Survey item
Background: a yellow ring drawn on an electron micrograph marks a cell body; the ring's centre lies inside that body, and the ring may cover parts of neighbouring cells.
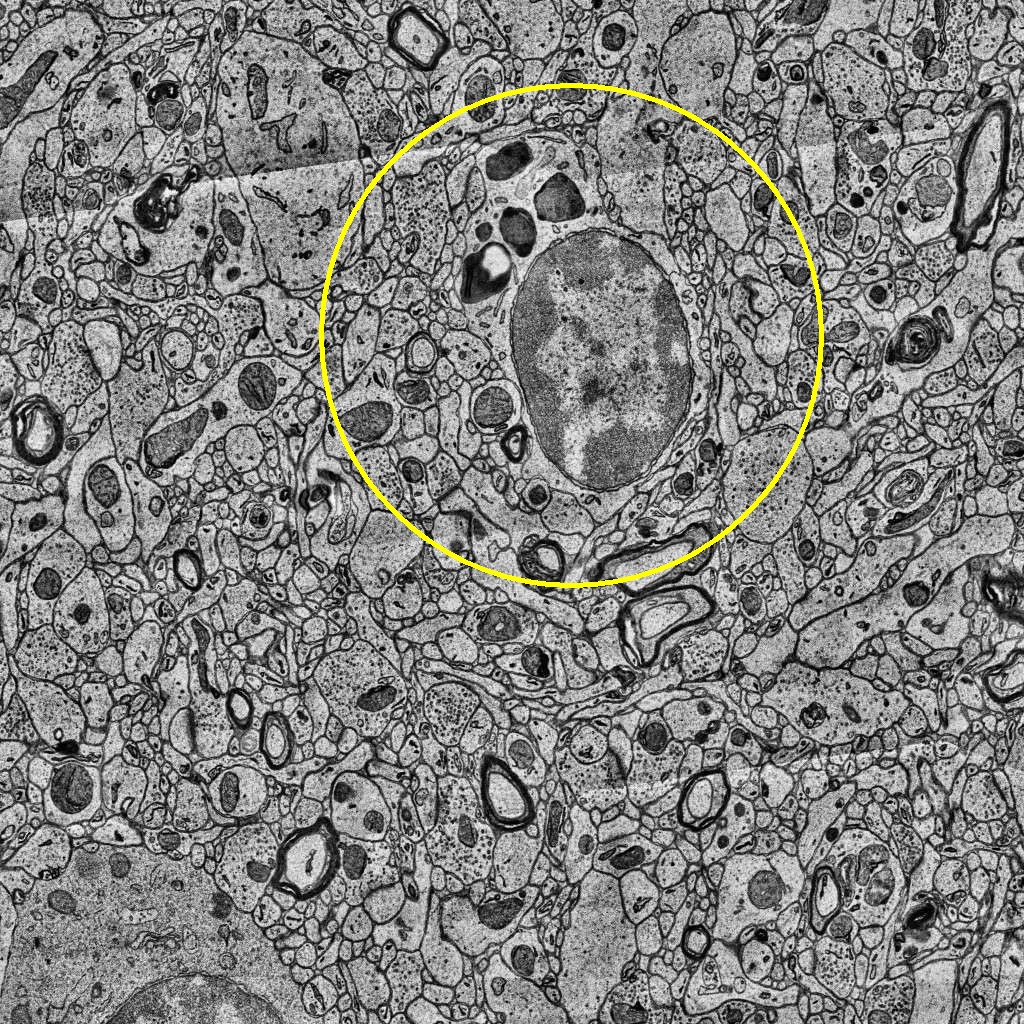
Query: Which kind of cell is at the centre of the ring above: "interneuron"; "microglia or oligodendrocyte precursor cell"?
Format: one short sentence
The cell in the middle of the ring is a microglial cell or oligodendrocyte precursor cell.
